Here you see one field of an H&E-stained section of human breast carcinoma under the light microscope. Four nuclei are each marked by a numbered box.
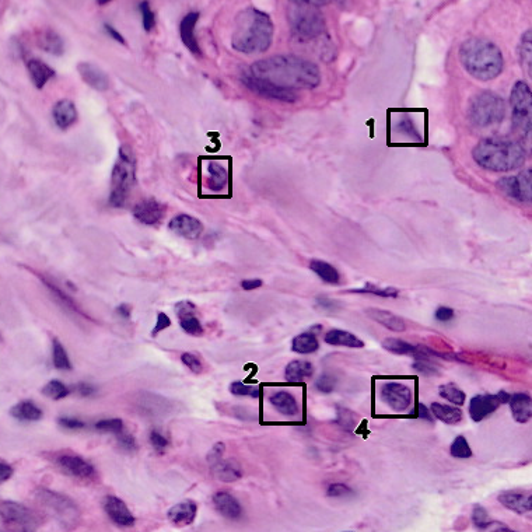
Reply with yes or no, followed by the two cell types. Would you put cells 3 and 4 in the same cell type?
No, cell 4 is a lymphocyte, while cell 3 is an endothelial cell.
